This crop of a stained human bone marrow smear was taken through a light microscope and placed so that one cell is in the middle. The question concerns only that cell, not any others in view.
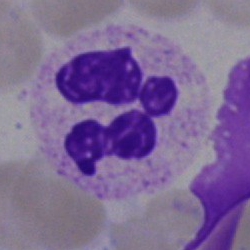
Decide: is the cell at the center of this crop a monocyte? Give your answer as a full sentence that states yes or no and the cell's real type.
No, the centred cell is a segmented neutrophil, and it is not a monocyte.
